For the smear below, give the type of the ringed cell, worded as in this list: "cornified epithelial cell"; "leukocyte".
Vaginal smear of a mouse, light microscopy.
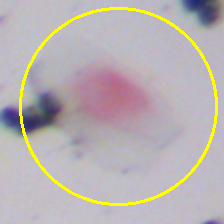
cornified epithelial cell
